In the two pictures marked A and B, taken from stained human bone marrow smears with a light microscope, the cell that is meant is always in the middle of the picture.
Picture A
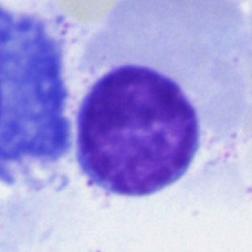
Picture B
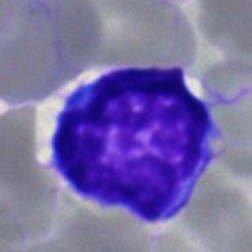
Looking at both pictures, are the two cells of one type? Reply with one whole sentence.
Yes, both are lymphocytes.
